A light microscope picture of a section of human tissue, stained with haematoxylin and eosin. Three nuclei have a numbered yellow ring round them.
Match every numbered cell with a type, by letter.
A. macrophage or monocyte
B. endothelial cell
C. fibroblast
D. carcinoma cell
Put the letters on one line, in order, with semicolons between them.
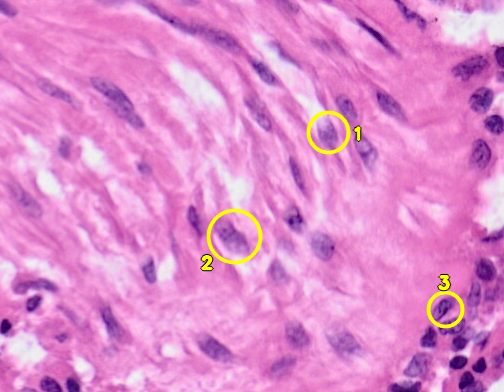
C; C; A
